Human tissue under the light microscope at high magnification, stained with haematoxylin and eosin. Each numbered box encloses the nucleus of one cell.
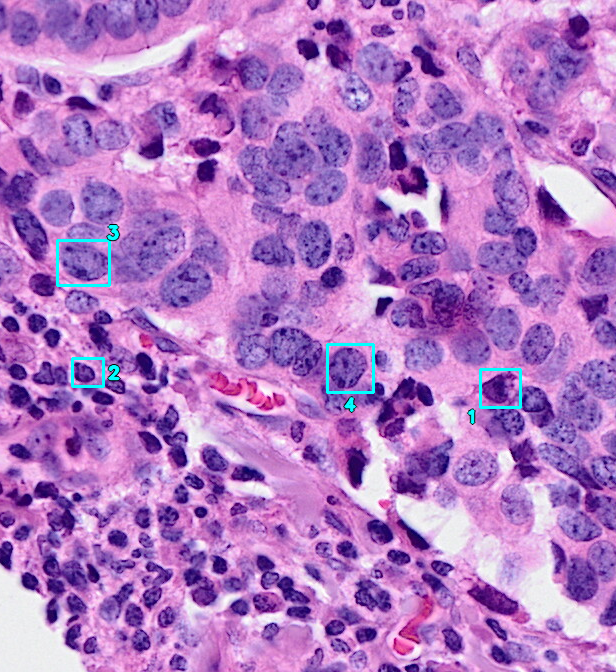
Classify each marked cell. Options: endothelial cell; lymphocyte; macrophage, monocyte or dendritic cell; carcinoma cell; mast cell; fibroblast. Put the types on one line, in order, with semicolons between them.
carcinoma cell; lymphocyte; carcinoma cell; carcinoma cell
